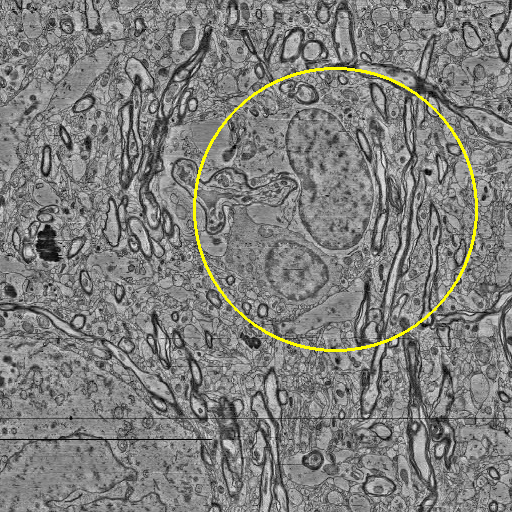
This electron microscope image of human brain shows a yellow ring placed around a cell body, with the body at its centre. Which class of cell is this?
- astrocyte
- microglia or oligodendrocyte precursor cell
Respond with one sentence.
The cell body at the ring's centre is a microglial cell or oligodendrocyte precursor cell.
